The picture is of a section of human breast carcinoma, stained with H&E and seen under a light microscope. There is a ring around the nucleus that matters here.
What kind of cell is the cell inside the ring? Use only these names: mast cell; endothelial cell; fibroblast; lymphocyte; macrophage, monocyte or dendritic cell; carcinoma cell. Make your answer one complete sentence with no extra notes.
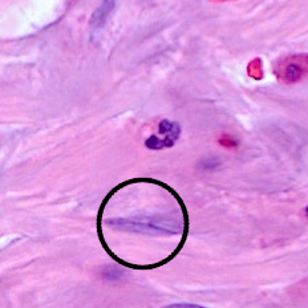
The correct response here is that the cell inside the ring is a fibroblast.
